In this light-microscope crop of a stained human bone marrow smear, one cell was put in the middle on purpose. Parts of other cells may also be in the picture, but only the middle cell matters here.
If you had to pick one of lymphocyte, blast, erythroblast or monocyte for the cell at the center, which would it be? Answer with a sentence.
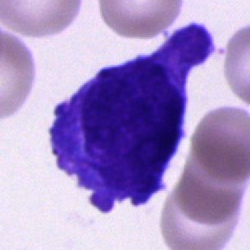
In the center of this field lies a blast.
